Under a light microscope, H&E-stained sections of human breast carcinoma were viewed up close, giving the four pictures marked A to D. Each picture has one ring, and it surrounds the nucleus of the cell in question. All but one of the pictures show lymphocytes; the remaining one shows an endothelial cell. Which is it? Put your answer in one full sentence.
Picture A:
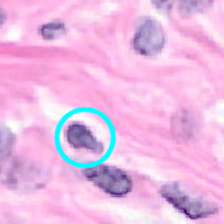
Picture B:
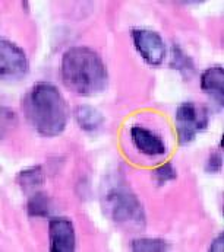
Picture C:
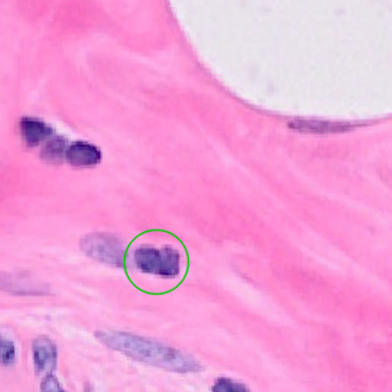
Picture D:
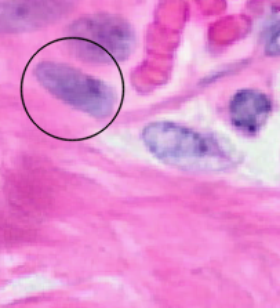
The endothelial cell is the one in picture D.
